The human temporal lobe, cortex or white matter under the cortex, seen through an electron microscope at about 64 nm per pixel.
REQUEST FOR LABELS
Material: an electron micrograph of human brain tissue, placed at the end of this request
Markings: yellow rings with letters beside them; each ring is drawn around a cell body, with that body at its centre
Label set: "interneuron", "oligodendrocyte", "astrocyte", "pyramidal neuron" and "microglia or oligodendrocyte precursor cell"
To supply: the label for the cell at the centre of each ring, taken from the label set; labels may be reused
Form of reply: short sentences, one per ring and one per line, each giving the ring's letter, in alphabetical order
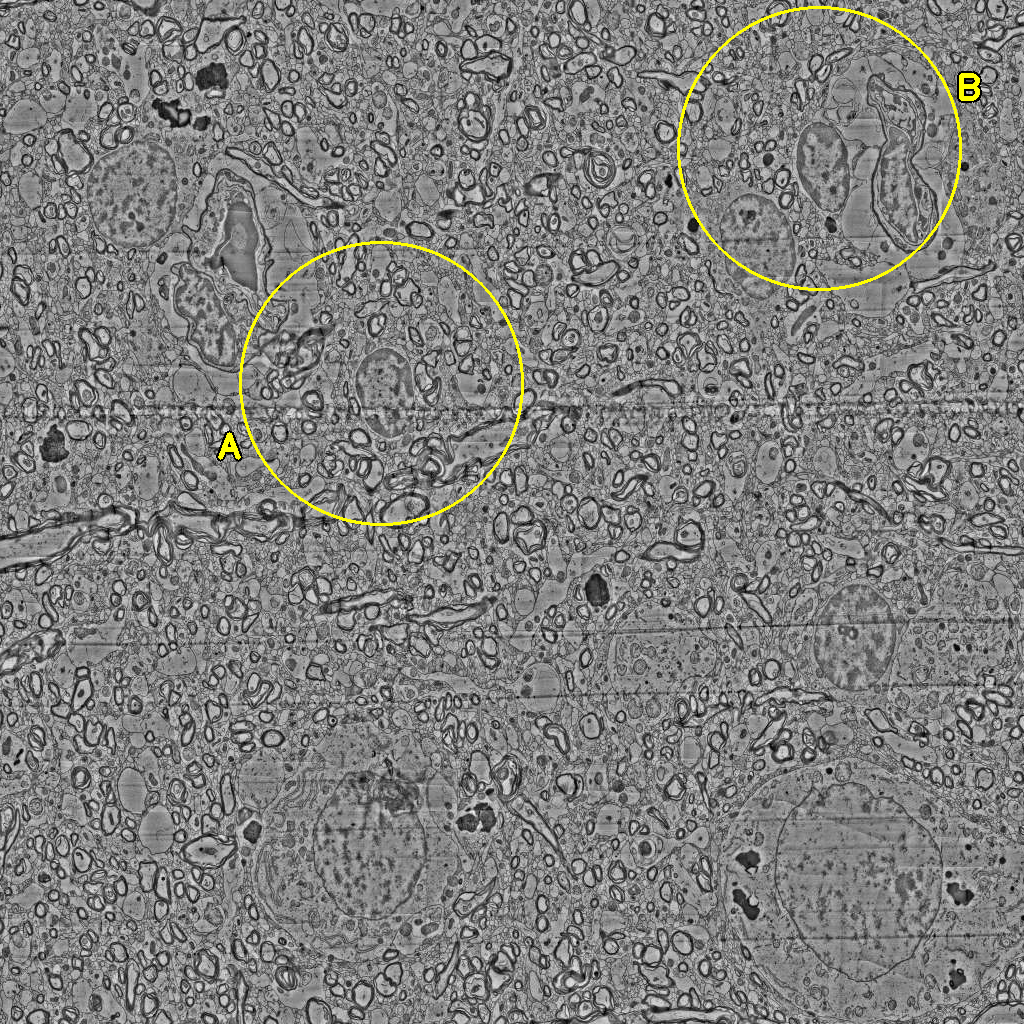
Ring A: the cell in the middle is a microglial cell or oligodendrocyte precursor cell.
Ring B: the cell in the middle is a microglial cell or oligodendrocyte precursor cell.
